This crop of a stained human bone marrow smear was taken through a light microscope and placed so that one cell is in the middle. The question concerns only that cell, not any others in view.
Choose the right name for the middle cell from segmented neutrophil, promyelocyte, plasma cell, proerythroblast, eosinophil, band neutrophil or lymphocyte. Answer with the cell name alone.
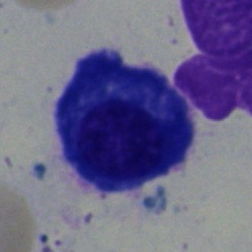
plasma cell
